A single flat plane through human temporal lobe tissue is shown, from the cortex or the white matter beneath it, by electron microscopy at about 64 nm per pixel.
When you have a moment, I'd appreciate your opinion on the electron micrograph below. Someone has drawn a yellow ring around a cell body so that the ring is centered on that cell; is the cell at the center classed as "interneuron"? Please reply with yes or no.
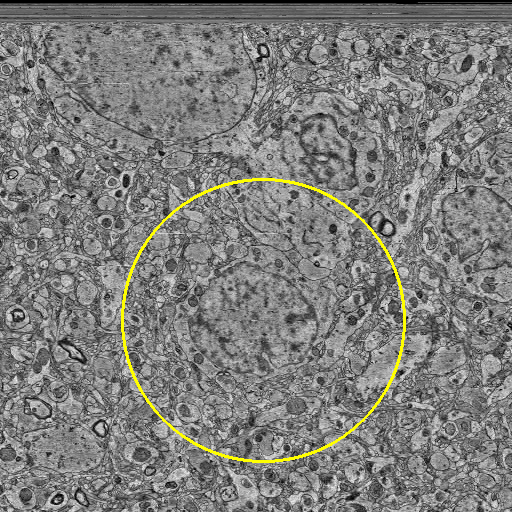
Yes, that cell is of the named kind.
